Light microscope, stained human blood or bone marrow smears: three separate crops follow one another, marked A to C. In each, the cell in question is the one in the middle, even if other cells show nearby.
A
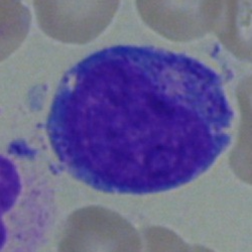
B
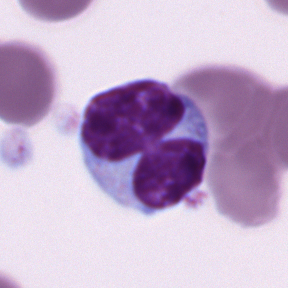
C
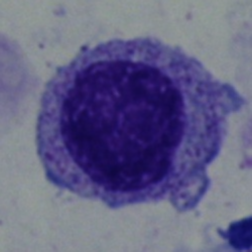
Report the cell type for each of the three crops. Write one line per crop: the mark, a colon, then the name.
A: promyelocyte
B: lymphocyte
C: myelocyte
